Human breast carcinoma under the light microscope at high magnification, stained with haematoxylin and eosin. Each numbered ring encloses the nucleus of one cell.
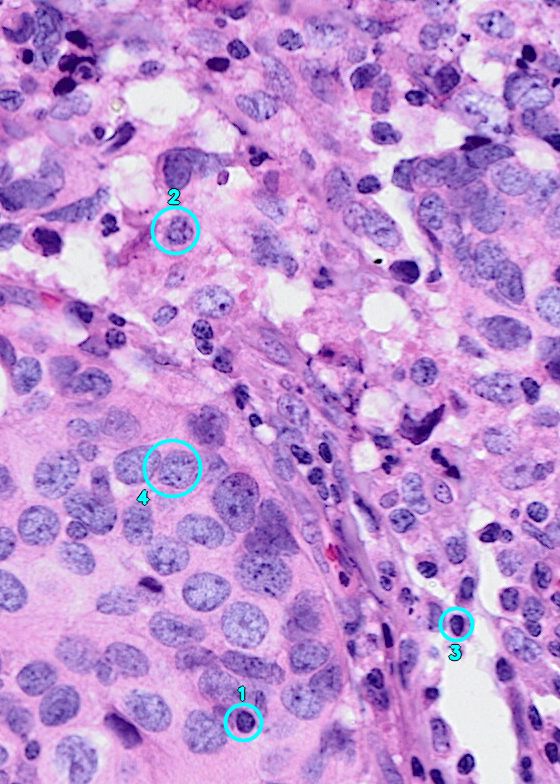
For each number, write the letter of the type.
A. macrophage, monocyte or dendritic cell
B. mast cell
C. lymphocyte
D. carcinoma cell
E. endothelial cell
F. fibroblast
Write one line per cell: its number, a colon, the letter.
1: C
2: A
3: C
4: D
